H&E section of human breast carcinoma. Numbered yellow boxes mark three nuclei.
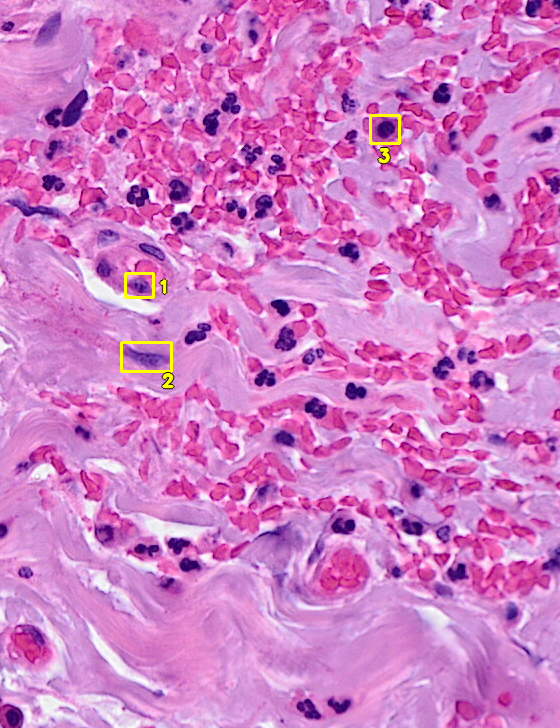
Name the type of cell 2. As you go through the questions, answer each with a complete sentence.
The marked cell with the number 2 is recognised as a fibroblast.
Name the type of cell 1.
Within this field of view, the cell labelled 1 is an endothelial cell.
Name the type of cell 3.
In this section, the cell numbered 3 is a mast cell.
